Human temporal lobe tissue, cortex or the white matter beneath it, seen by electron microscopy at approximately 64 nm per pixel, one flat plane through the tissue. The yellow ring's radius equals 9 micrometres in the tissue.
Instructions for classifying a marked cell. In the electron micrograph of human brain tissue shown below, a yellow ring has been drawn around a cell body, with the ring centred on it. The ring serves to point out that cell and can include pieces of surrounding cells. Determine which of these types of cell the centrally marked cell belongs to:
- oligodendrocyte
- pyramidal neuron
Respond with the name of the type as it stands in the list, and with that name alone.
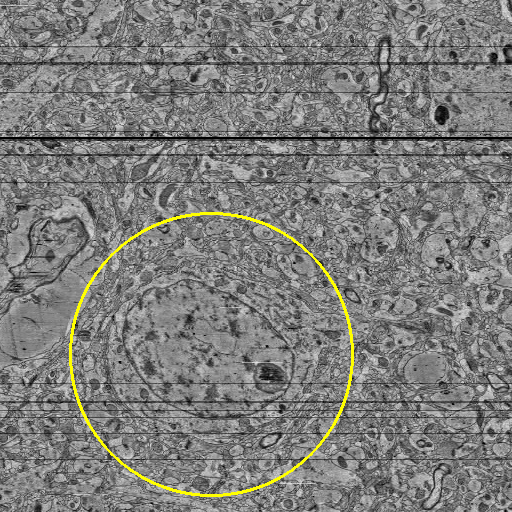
pyramidal neuron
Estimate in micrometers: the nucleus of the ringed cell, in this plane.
The nucleus is approximately 12 micrometers long by 8 micrometers wide in this plane.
